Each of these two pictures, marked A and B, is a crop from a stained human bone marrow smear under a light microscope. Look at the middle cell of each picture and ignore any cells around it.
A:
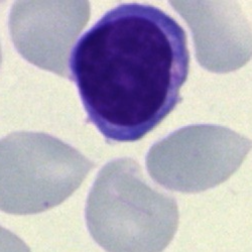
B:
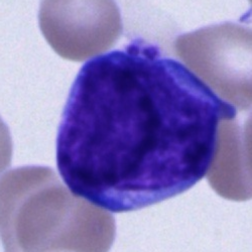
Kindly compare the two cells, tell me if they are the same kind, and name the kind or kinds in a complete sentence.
No, crop A holds a lymphocyte, and a blast occupies crop B.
